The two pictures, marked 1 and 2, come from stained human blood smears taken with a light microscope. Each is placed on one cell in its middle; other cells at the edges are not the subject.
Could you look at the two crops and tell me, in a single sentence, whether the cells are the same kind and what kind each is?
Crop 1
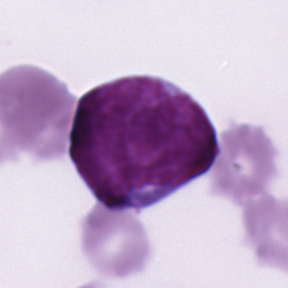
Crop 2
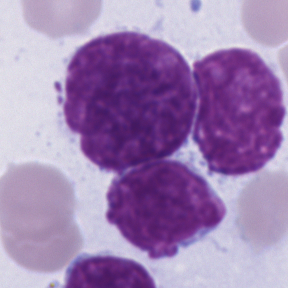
Yes, the two crops share the same answer, blasts.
